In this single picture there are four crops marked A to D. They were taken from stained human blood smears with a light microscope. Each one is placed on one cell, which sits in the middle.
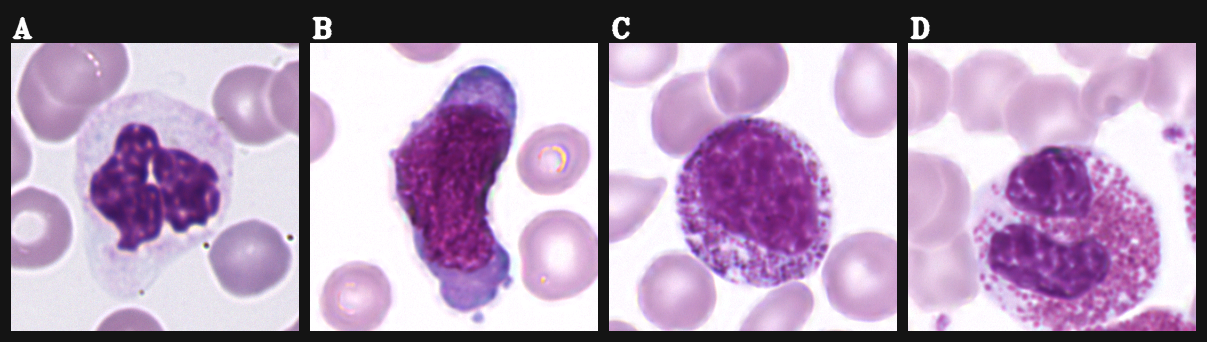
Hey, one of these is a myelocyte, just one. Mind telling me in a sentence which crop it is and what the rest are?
Crop C presents a myelocyte at its centre, whereas crop A is a segmented neutrophil, crop B is an atypical promyelocyte and crop D is an eosinophil.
